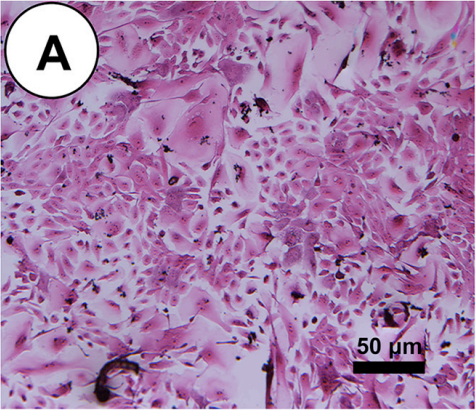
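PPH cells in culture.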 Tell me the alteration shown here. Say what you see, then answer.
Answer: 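Cells are flat with several straight-edged sides. Cells lie as a sheet of many-sided shapes. So: polygonal shape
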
